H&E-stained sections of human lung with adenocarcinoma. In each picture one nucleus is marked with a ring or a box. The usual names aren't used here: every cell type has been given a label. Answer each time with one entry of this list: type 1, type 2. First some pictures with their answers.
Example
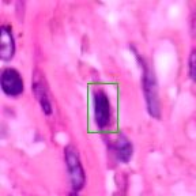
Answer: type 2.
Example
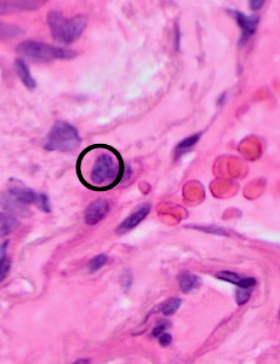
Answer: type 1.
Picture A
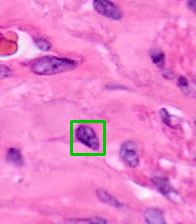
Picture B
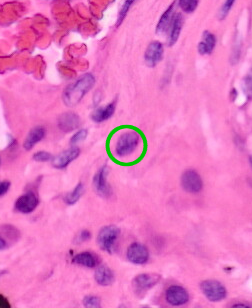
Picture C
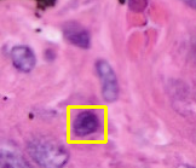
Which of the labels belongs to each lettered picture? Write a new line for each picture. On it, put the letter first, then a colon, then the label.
A: type 1.
B: type 1.
C: type 2.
